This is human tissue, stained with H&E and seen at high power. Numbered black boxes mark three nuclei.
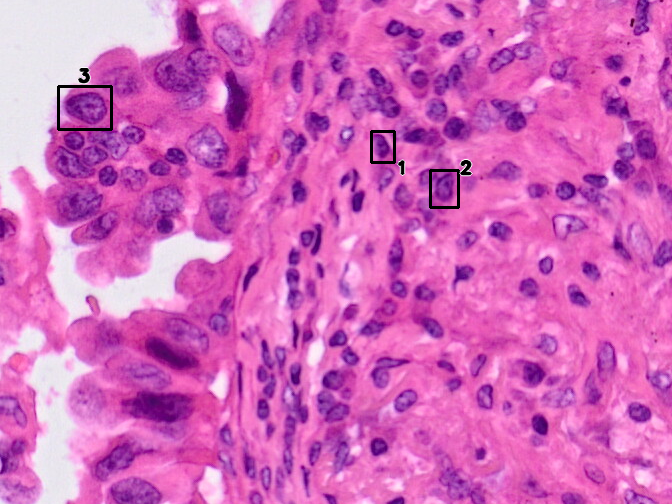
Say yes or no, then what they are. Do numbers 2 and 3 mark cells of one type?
No, cell 2 is identified as a plasma cell, and cell 3 is identified as a carcinoma cell.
